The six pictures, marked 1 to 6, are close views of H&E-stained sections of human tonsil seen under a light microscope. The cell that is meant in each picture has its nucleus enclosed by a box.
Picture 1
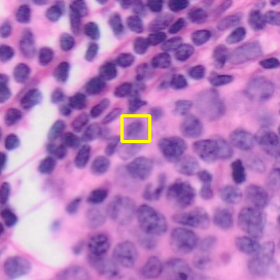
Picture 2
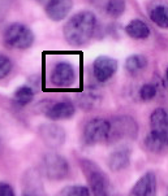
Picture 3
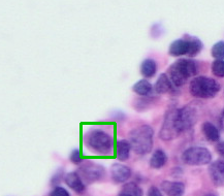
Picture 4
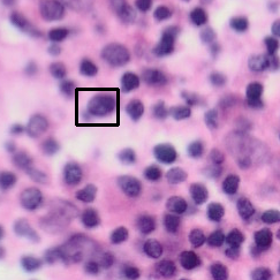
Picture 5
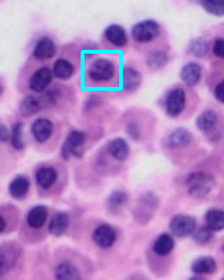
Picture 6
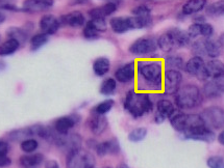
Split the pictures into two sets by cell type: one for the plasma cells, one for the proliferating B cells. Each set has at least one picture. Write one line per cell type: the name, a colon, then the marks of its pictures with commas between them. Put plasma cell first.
plasma cell: 2, 5
proliferating B cell: 1, 3, 4, 6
